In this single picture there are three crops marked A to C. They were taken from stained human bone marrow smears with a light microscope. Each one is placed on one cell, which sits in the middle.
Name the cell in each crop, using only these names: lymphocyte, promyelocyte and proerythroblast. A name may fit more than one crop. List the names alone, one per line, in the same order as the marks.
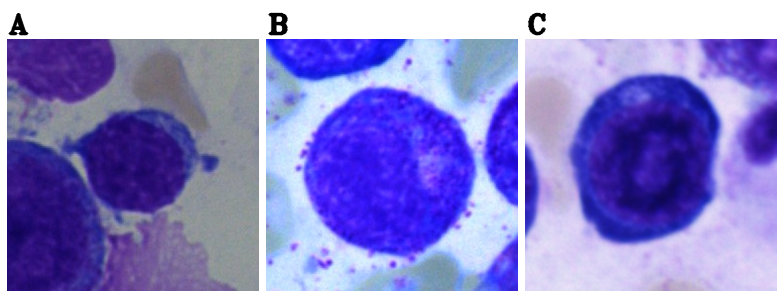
lymphocyte
promyelocyte
proerythroblast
